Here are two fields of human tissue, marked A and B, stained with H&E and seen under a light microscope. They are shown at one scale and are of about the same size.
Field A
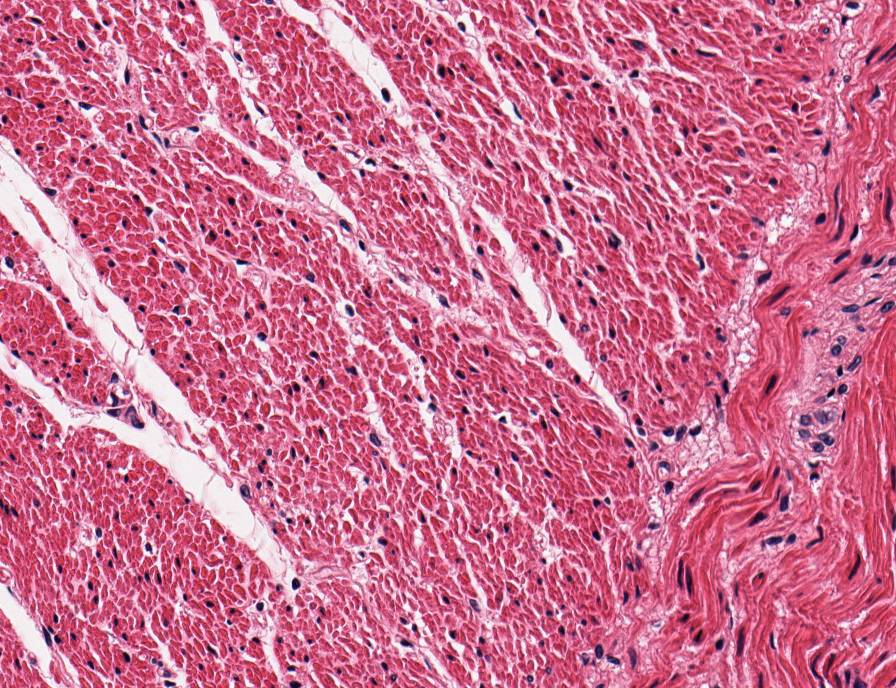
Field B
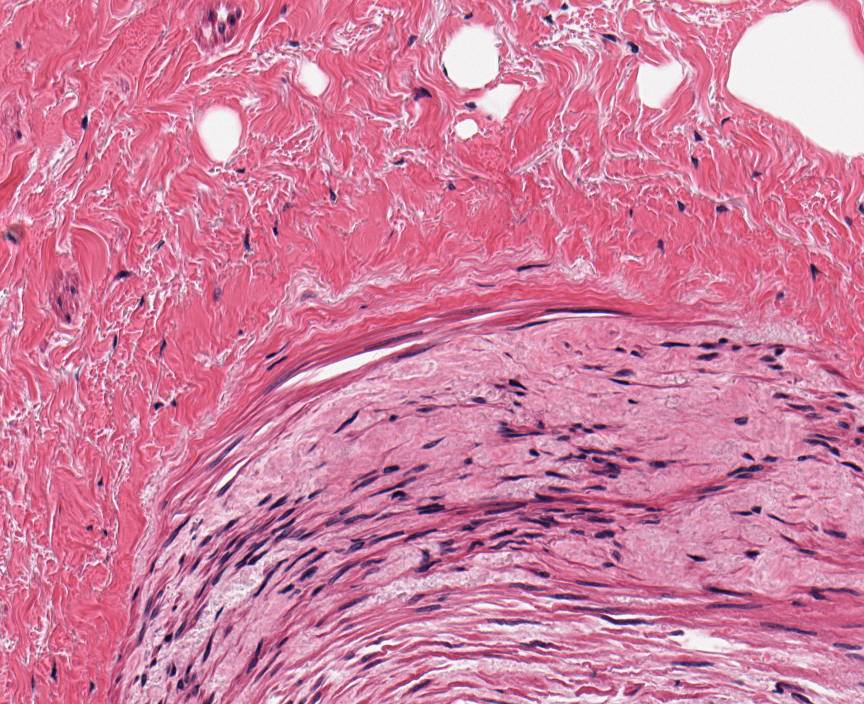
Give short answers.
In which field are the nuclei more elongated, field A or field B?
B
